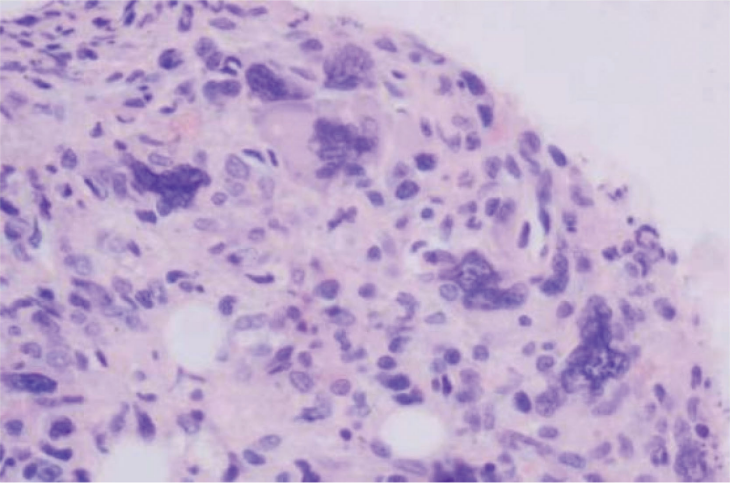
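Bone marrow with numerous megakaryocytes, large and small, lying scattered and in loose groups among smaller hematopoietic cells. The megakaryocytes have dark, lobulated, clumped nuclei and pale pink cytoplasm, while the surrounding cells have smaller oval to round nuclei. A few small round clear spaces are present.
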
